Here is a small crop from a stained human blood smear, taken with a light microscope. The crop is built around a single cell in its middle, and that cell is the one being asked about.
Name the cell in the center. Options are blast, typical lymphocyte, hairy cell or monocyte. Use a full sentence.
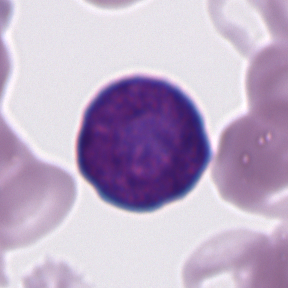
This crop has a blast at its centre.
